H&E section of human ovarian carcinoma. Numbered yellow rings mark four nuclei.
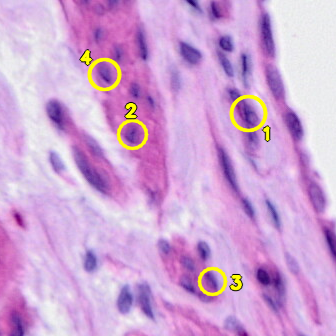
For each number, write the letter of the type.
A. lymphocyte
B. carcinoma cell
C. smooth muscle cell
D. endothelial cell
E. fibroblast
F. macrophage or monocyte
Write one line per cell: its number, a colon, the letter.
1: D
2: C
3: C
4: C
